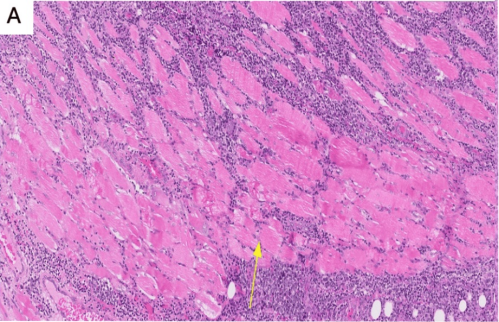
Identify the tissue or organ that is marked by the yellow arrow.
Skeletal muscle fibers.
